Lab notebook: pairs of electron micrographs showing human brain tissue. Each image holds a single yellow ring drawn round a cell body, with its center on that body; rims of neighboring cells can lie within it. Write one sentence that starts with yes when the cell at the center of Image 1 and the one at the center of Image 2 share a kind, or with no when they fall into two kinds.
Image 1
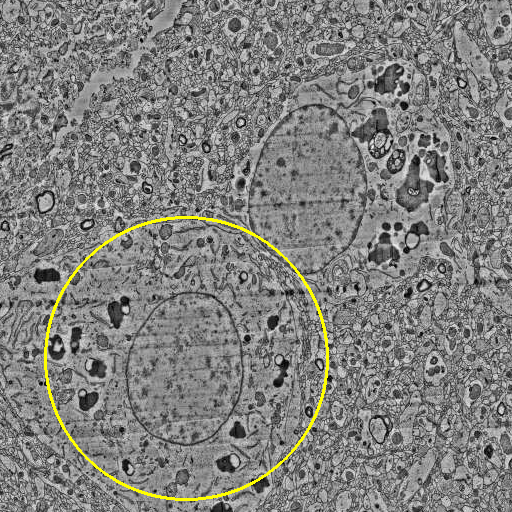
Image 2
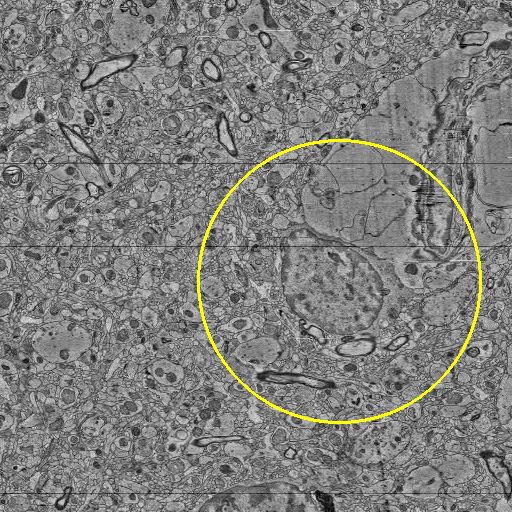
No, the centered cell in Image 1 and the centered cell in Image 2 are of two kinds.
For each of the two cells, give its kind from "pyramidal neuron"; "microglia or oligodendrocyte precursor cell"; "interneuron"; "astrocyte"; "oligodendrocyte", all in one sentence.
The first picture has a pyramidal neuron in its ring, the second has an oligodendrocyte.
